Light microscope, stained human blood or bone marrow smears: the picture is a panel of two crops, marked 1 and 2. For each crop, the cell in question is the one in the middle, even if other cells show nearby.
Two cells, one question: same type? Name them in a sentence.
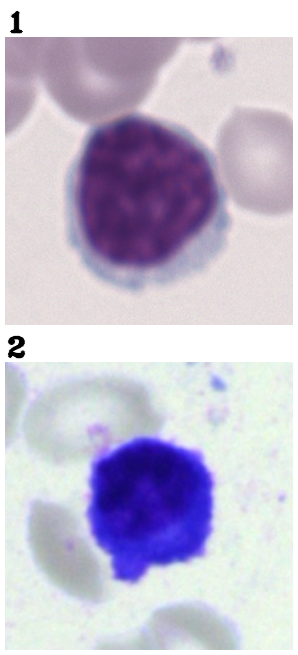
No, in crop 1 the cell is a lymphocyte, and in crop 2 it is a plasma cell.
